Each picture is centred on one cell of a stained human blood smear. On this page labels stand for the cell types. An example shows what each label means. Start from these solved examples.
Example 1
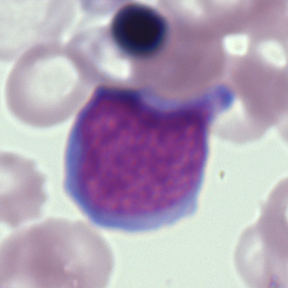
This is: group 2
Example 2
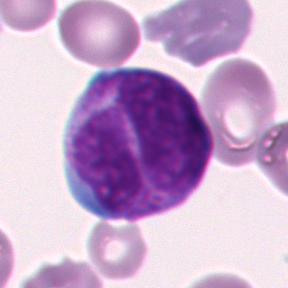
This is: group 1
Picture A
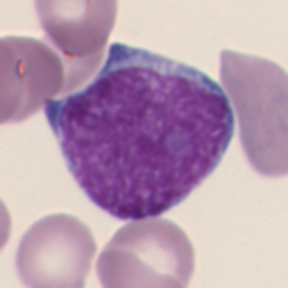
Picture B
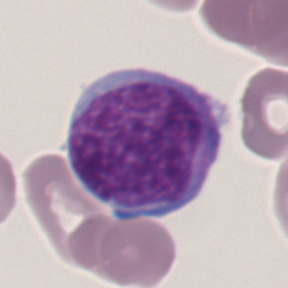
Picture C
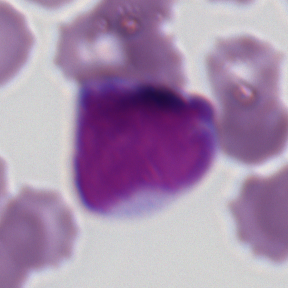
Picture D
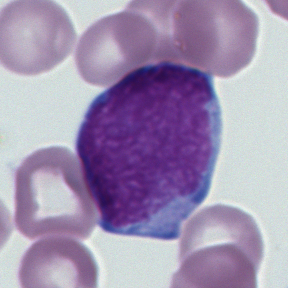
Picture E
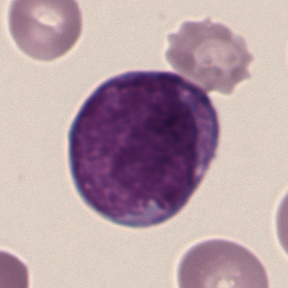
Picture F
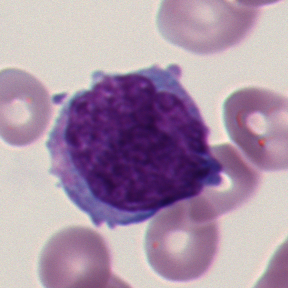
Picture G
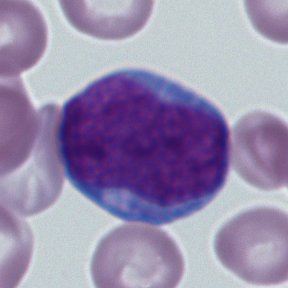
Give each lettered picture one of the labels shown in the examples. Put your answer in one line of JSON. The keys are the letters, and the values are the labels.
{"A": "group 2", "B": "group 1", "C": "group 2", "D": "group 2", "E": "group 1", "F": "group 1", "G": "group 2"}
